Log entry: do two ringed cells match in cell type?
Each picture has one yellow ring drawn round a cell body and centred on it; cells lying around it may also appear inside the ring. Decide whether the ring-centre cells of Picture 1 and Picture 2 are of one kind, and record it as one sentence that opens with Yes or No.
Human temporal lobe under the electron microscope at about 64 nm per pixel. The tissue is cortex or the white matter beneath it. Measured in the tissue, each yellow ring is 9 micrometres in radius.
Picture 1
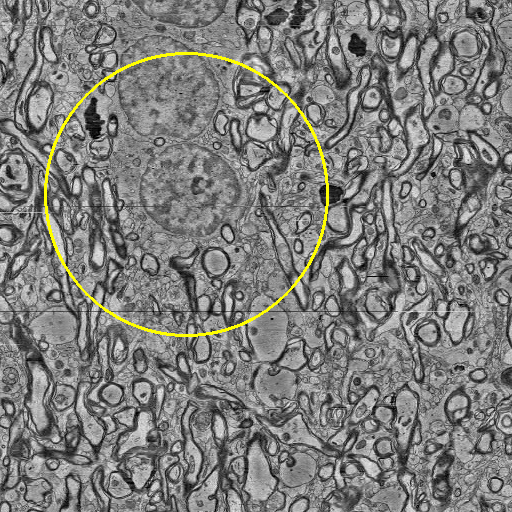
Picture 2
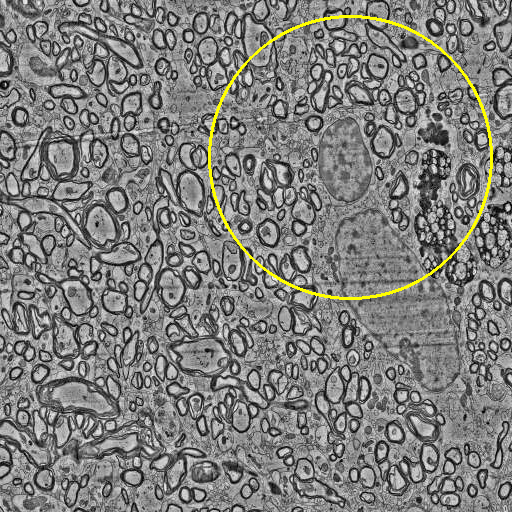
No, the cells at the ring centres of the two pictures belong to two kinds.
